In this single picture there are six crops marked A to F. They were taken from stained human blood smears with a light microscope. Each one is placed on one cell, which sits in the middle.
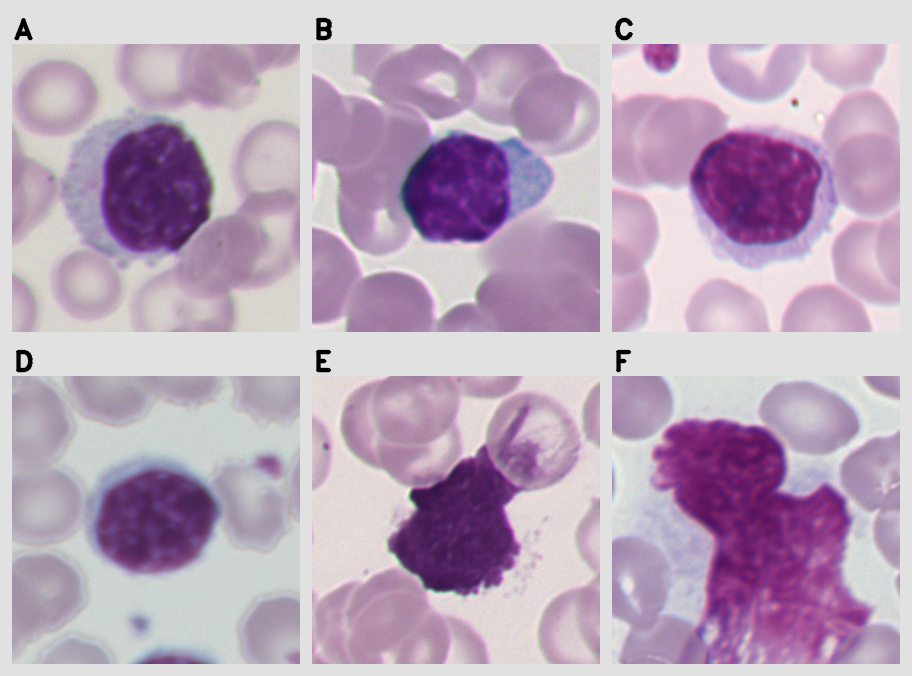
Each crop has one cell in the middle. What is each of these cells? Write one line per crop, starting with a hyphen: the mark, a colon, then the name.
- A: typical lymphocyte
- B: typical lymphocyte
- C: typical lymphocyte
- D: typical lymphocyte
- E: smudge cell
- F: smudge cell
